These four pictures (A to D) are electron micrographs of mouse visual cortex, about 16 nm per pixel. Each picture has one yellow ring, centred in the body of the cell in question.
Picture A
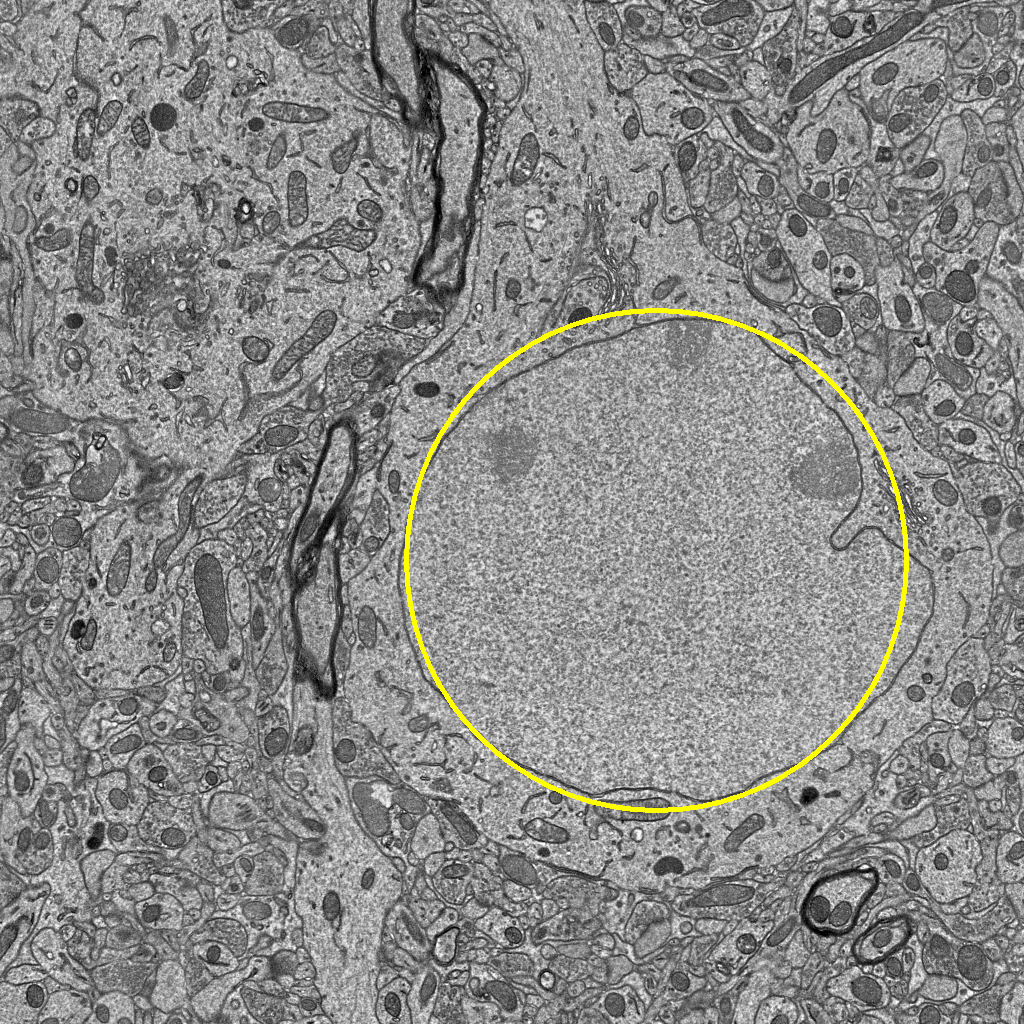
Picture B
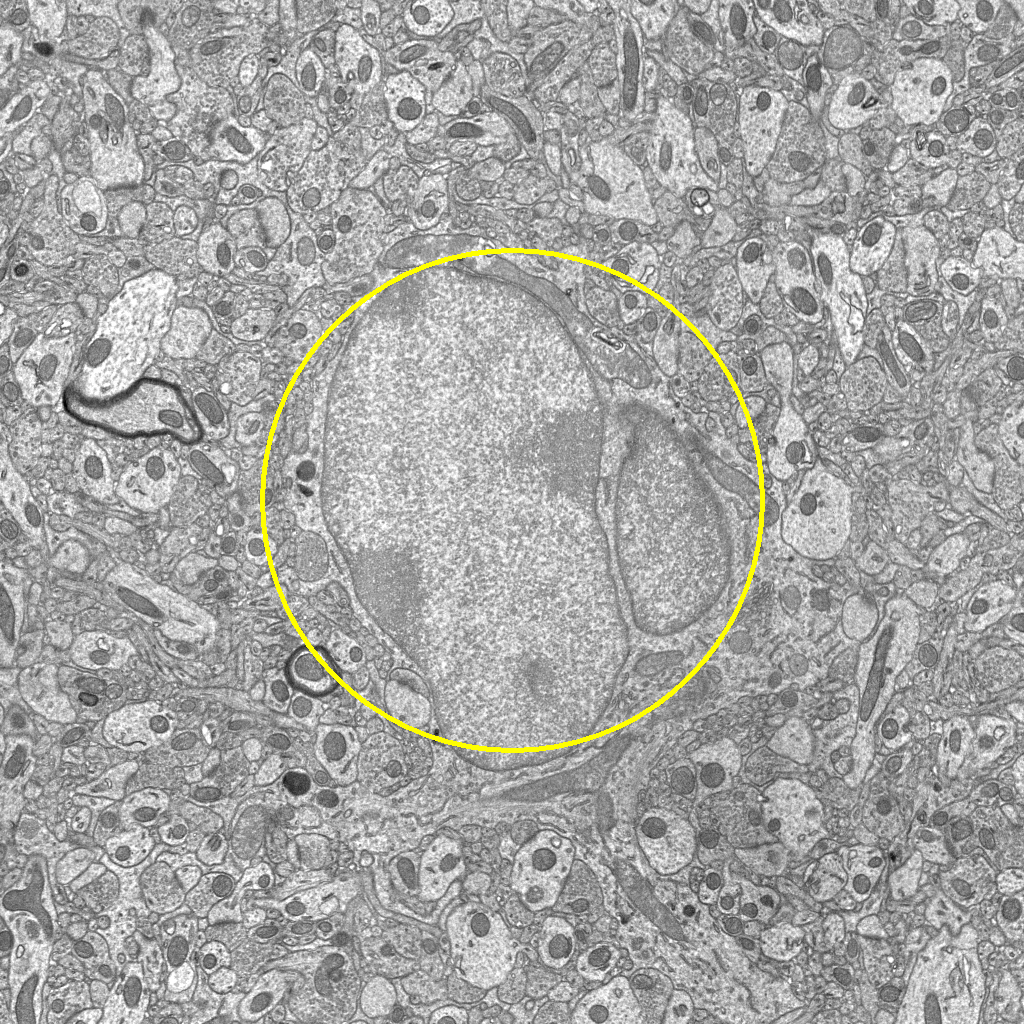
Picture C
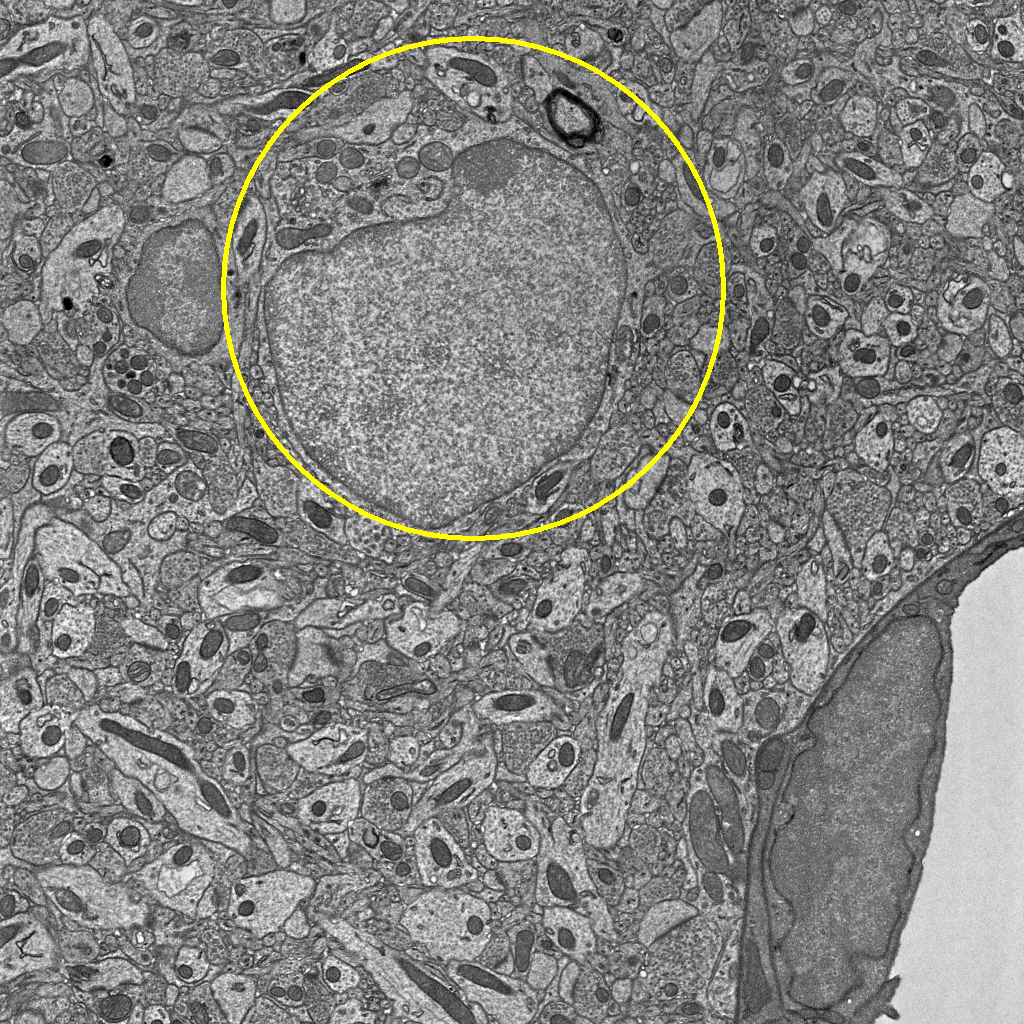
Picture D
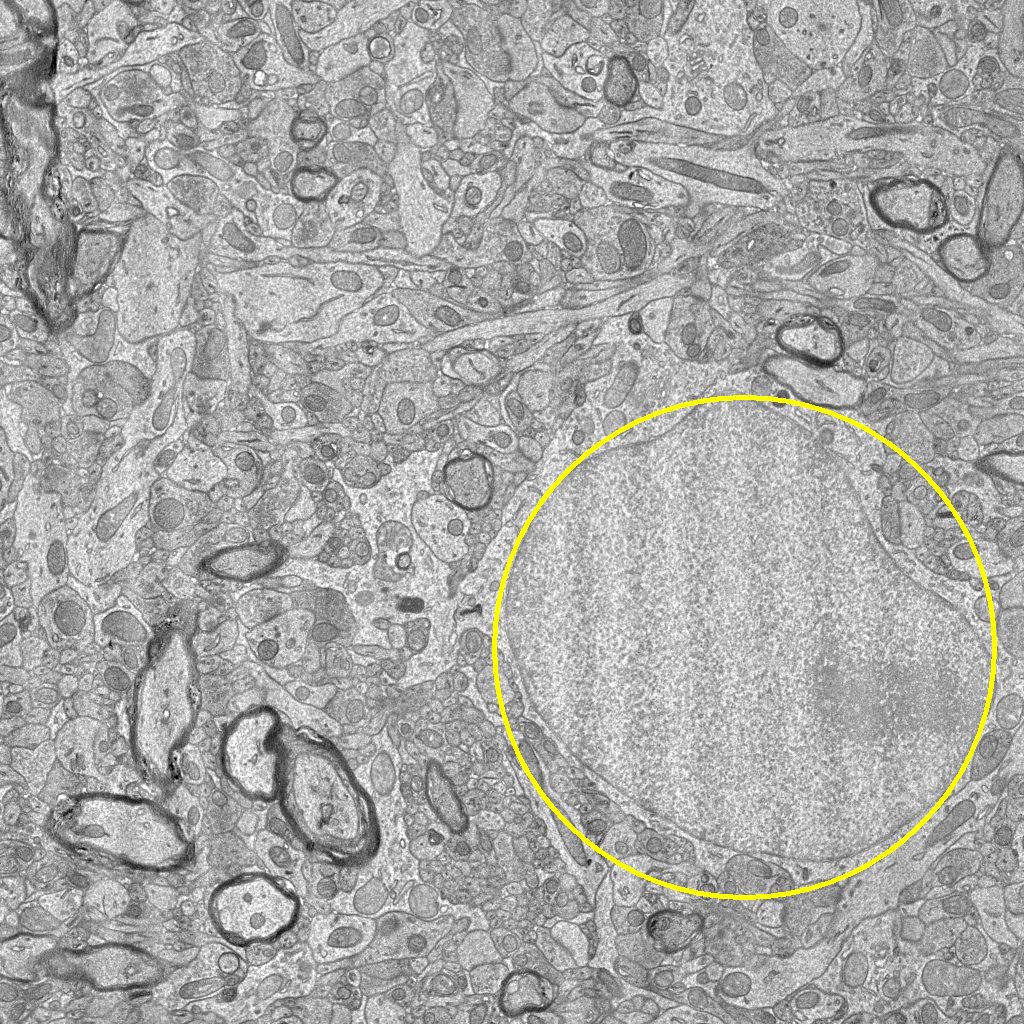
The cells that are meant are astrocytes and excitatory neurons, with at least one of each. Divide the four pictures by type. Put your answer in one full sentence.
Pictures B, C and D show astrocytes, and picture A shows an excitatory neuron.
